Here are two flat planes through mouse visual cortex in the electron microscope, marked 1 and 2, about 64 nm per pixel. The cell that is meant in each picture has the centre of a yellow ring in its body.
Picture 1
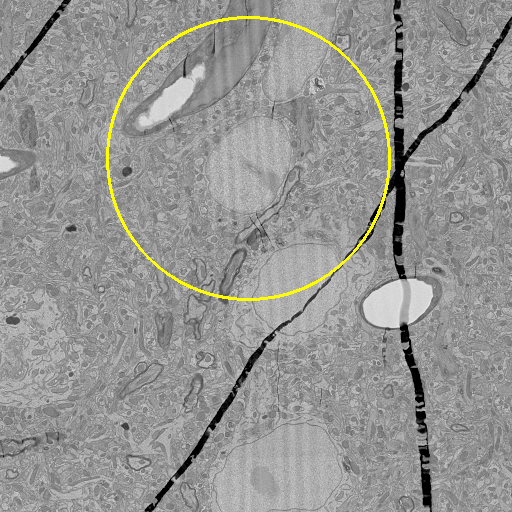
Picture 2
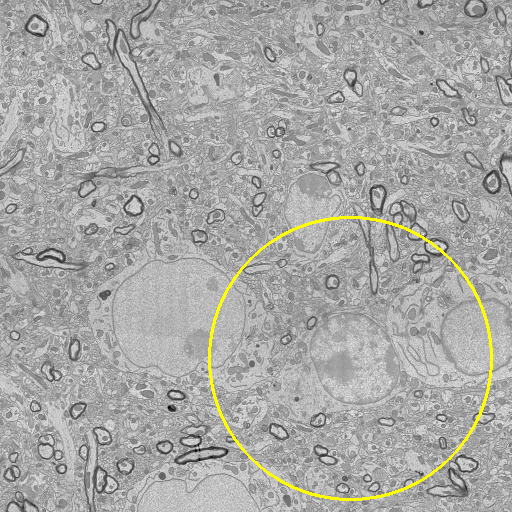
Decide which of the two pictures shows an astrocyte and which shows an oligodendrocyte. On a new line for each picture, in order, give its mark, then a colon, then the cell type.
1: astrocyte
2: oligodendrocyte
